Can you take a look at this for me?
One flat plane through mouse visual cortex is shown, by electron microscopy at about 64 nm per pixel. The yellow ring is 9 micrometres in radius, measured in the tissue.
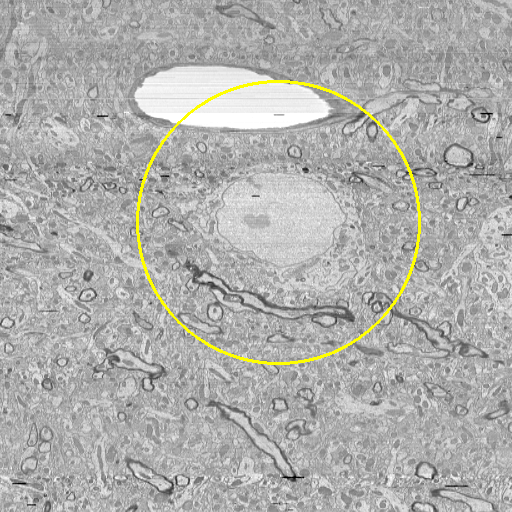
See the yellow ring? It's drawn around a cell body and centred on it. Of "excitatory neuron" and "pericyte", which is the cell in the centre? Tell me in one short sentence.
The one in the centre is an excitatory neuron.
